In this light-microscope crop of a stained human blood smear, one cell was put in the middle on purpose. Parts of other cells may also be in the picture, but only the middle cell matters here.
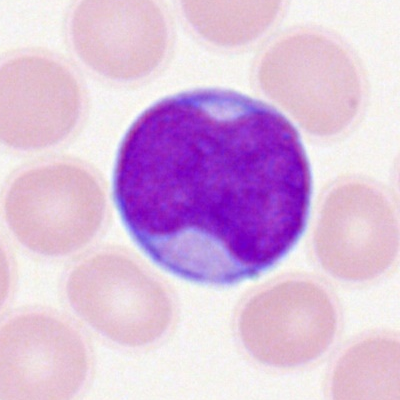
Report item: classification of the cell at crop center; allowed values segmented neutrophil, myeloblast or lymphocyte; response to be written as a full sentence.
Whatever else lies nearby, the middle cell is a myeloblast.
